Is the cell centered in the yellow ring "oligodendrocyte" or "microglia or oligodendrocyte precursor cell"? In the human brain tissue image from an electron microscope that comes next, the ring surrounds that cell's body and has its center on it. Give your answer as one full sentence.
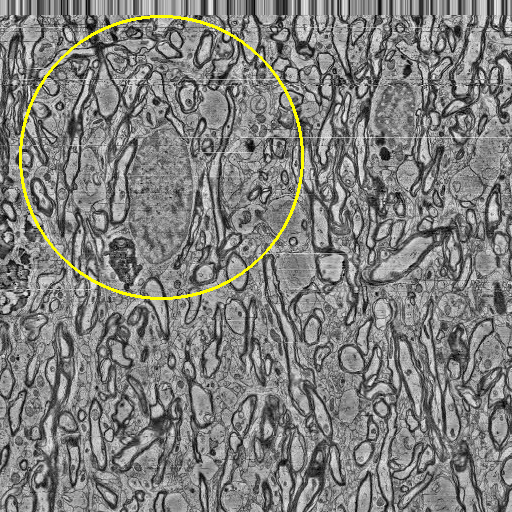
The cell at the center of the yellow ring is an oligodendrocyte in the micrograph.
